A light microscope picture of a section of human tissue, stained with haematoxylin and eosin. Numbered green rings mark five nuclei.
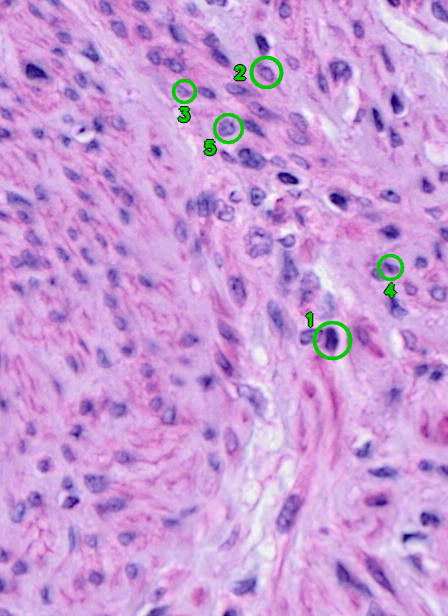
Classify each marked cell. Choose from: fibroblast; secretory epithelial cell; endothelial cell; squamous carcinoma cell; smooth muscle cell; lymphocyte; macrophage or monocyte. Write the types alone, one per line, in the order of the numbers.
lymphocyte
smooth muscle cell
smooth muscle cell
fibroblast
smooth muscle cell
